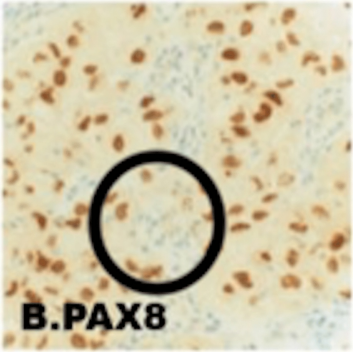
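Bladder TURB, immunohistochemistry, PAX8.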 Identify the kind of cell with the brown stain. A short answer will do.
Tumor cells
